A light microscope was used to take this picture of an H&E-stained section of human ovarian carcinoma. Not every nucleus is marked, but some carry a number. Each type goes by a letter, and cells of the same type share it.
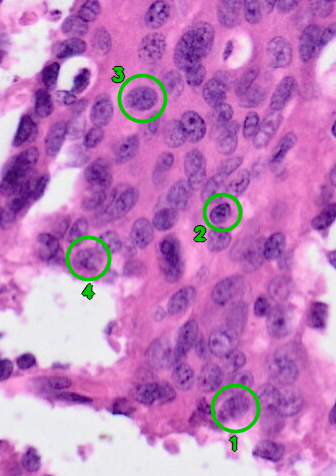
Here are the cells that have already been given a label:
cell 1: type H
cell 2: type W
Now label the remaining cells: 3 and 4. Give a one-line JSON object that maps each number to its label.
{"3": "type H", "4": "type H"}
